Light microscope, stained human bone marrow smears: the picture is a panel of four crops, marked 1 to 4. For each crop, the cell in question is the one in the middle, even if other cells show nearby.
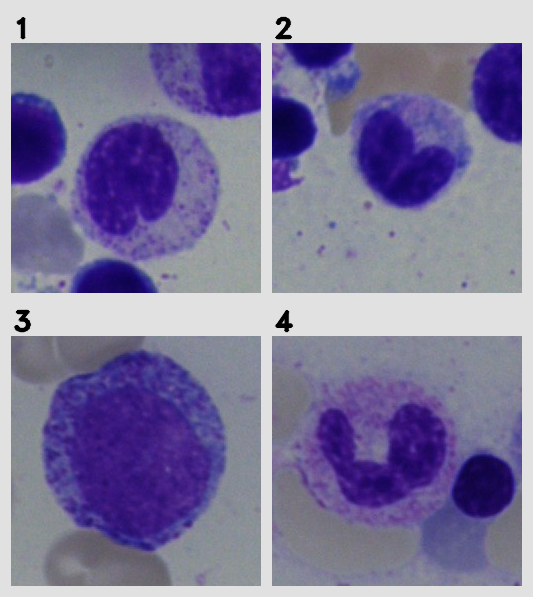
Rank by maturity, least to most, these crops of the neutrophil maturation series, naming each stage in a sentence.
The correct order, least to most mature, is crop 3 (a promyelocyte), crop 1 (a myelocyte), crop 2 (a metamyelocyte) and crop 4 (a segmented neutrophil).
